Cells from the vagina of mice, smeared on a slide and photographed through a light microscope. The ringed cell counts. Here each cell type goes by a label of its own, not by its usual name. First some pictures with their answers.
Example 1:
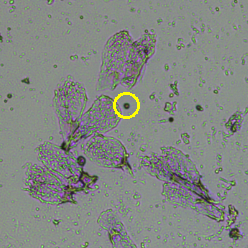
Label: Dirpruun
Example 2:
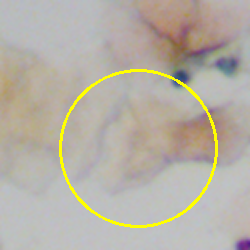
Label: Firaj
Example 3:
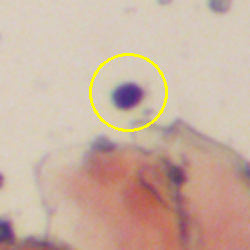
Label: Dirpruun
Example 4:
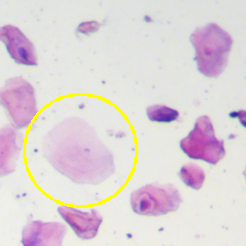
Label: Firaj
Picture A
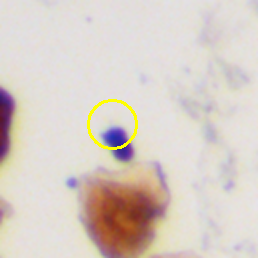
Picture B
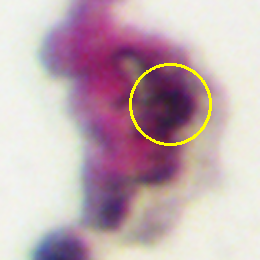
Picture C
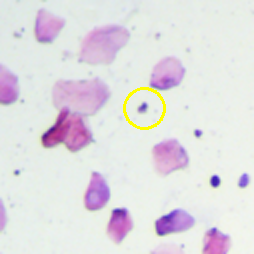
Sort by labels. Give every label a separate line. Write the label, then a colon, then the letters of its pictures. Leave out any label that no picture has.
Dirpruun: A, B, C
